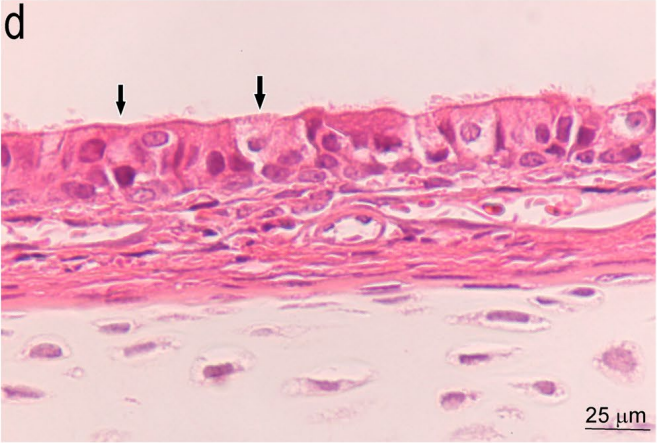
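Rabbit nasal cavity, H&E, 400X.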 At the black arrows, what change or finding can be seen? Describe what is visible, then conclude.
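Loss of most cilia. Only a few short, sparse projections remain on the surface elsewhere.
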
